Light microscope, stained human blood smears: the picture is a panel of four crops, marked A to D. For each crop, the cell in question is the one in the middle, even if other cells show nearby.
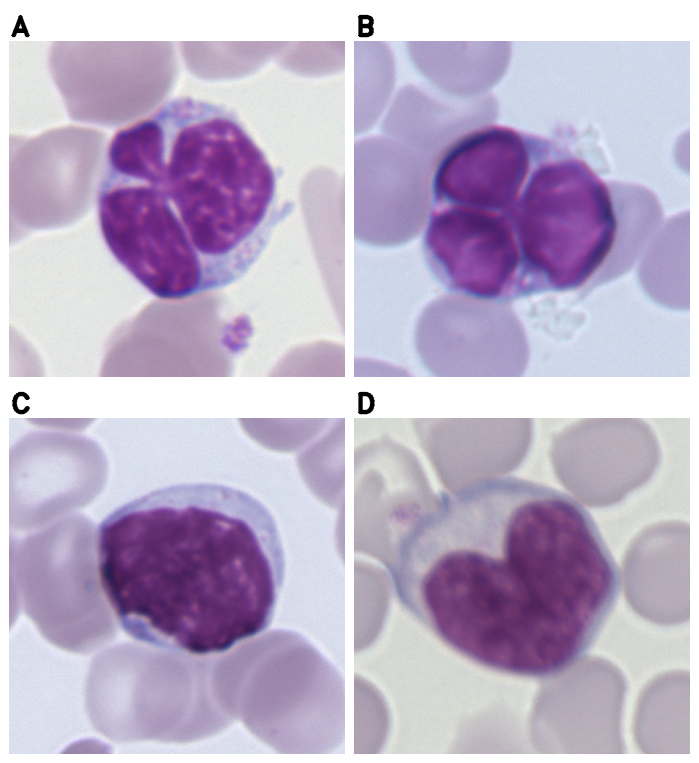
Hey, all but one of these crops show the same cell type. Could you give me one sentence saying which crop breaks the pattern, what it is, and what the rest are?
The one crop not showing large granular lymphocytes is crop D, which shows a typical lymphocyte.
